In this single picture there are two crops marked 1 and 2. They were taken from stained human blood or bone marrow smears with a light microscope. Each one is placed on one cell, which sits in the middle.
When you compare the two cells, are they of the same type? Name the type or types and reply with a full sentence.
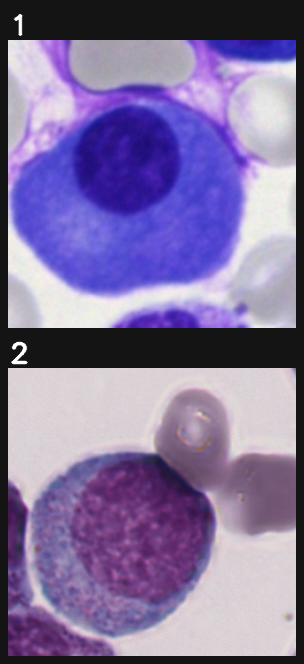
No, crop 1 corresponds to a plasma cell, while crop 2 corresponds to a promyelocyte.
